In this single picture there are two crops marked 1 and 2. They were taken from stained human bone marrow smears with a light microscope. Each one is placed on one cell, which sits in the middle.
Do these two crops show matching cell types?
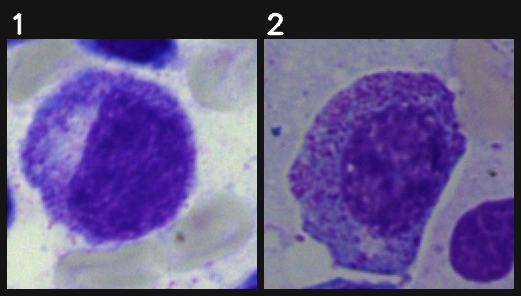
yes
